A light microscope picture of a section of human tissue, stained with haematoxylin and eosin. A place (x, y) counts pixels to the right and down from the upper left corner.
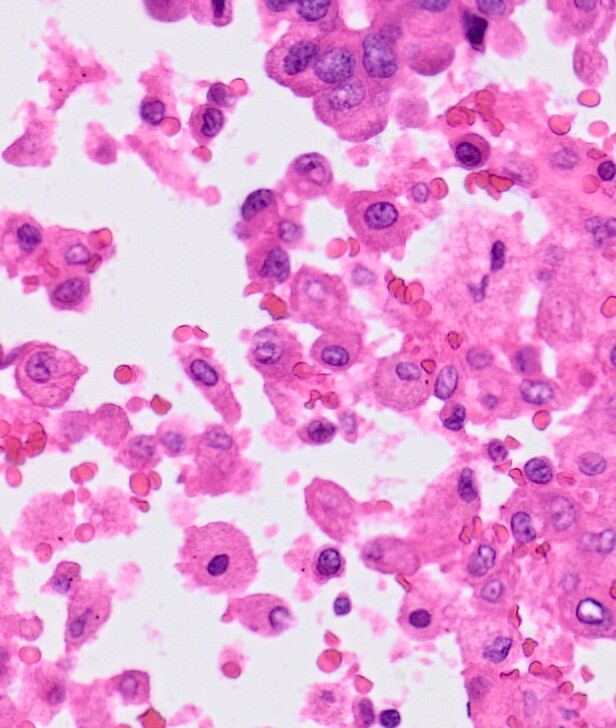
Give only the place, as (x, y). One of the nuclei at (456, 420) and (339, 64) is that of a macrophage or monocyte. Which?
(456, 420)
